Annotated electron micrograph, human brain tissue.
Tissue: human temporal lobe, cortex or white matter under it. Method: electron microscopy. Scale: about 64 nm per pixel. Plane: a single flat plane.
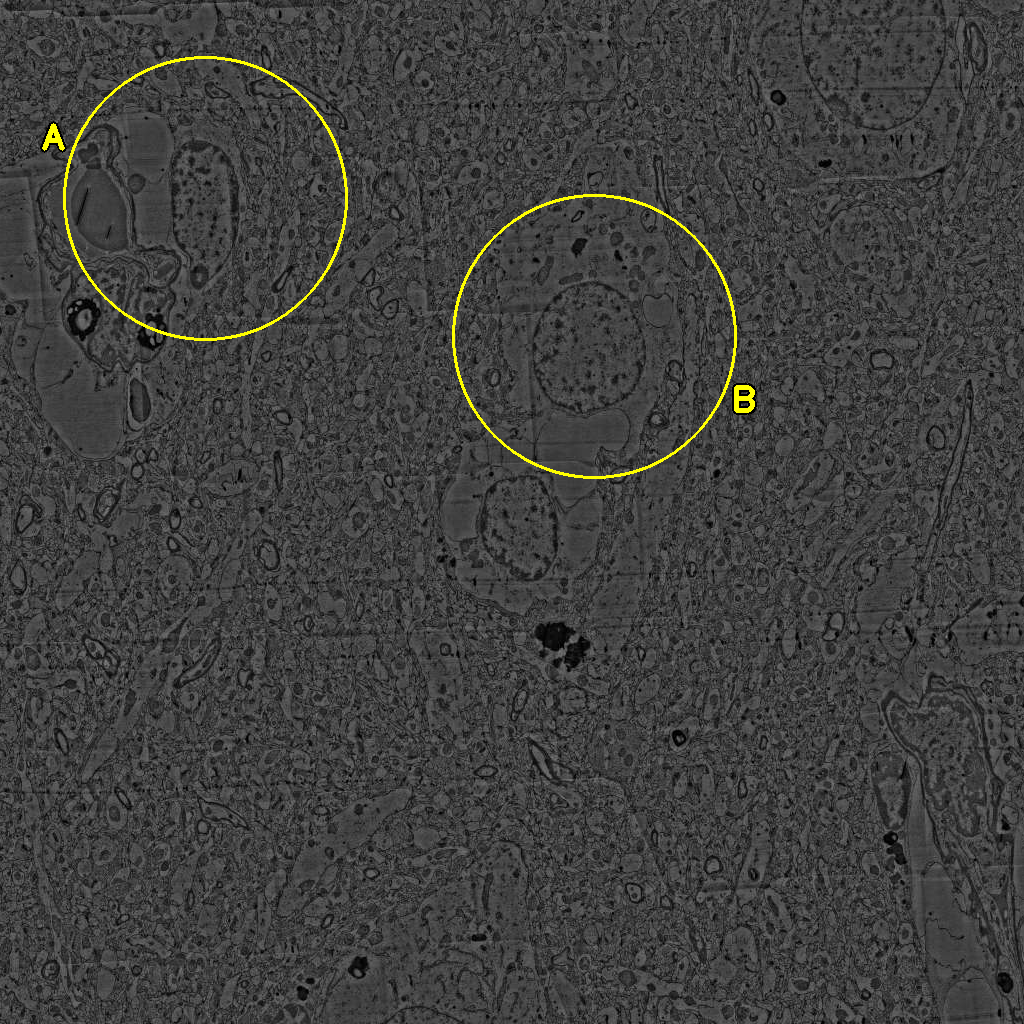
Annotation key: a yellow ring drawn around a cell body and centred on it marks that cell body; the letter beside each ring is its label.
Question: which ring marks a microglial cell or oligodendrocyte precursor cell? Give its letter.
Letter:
A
